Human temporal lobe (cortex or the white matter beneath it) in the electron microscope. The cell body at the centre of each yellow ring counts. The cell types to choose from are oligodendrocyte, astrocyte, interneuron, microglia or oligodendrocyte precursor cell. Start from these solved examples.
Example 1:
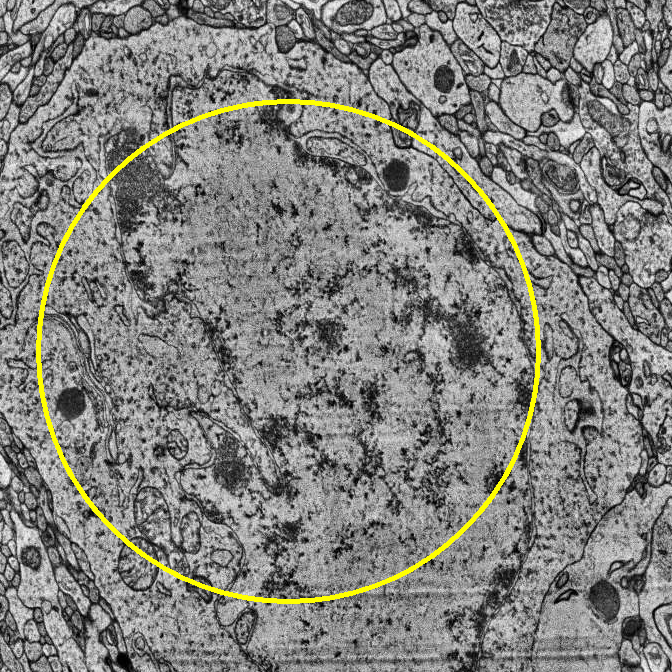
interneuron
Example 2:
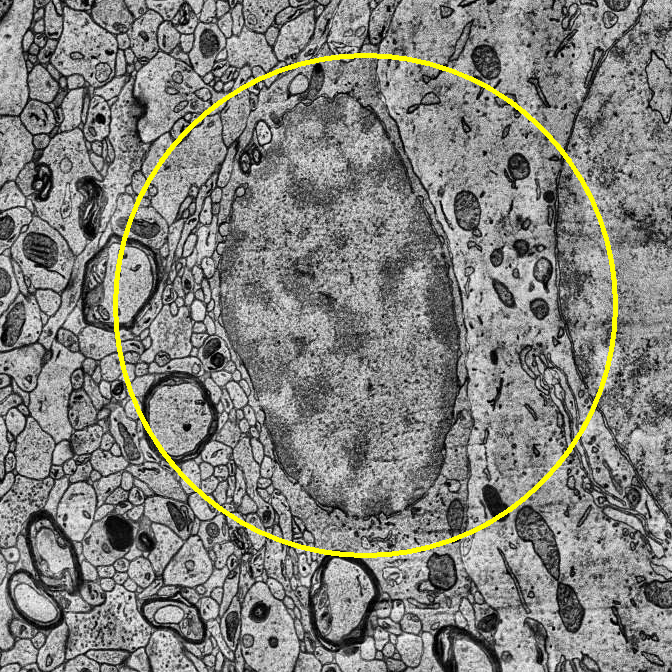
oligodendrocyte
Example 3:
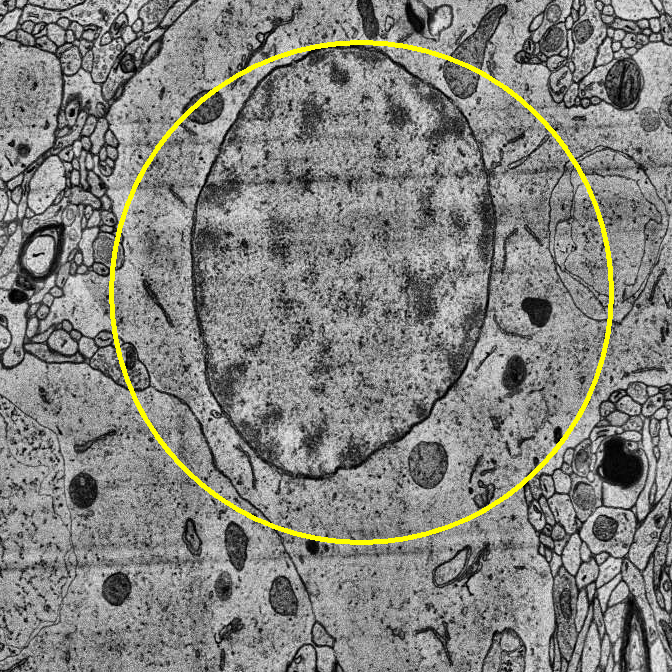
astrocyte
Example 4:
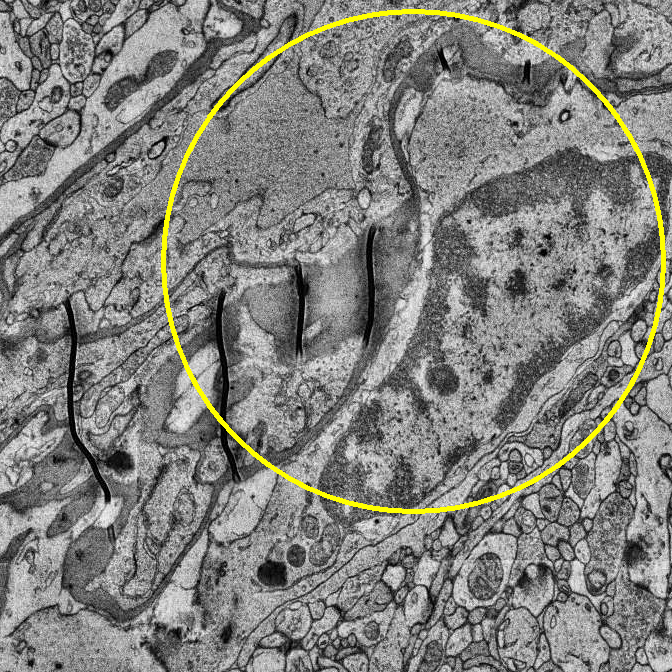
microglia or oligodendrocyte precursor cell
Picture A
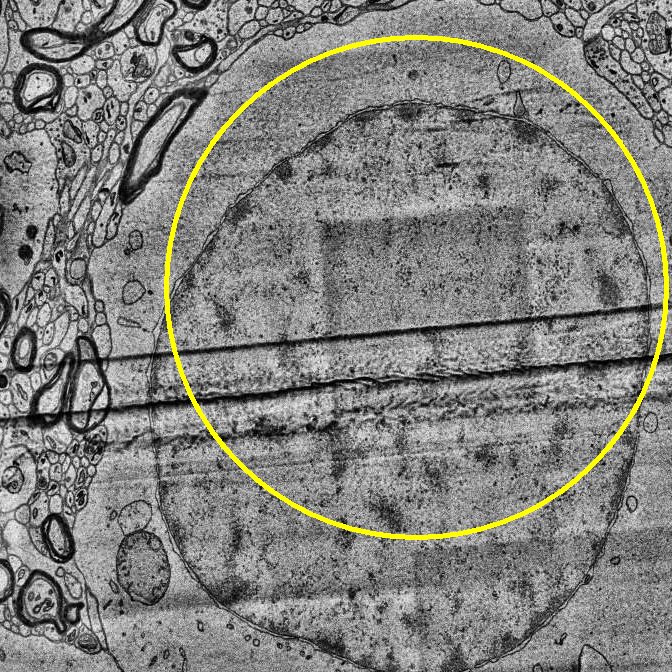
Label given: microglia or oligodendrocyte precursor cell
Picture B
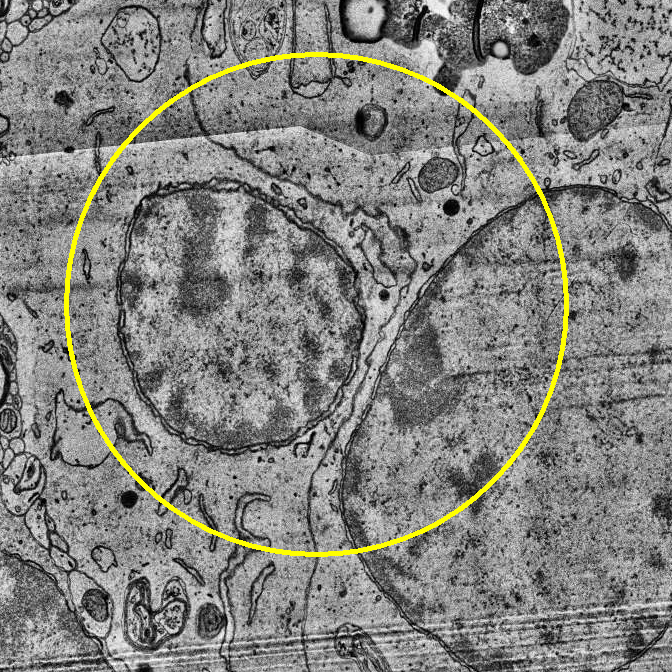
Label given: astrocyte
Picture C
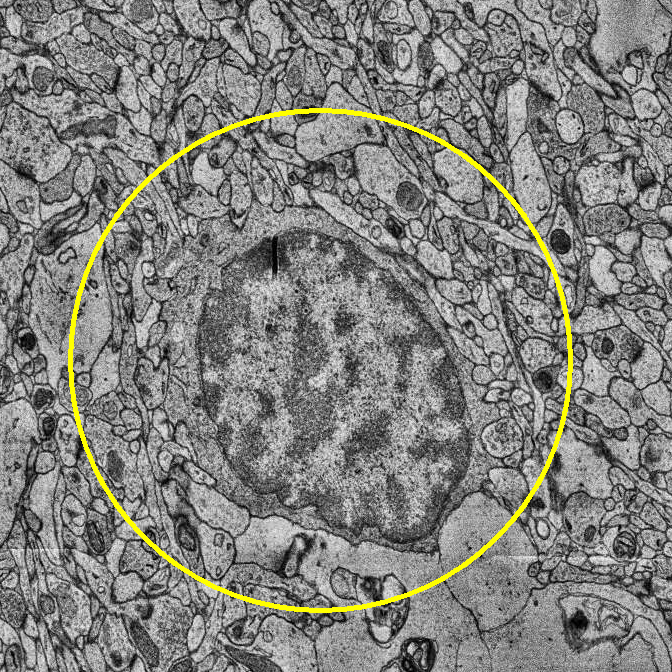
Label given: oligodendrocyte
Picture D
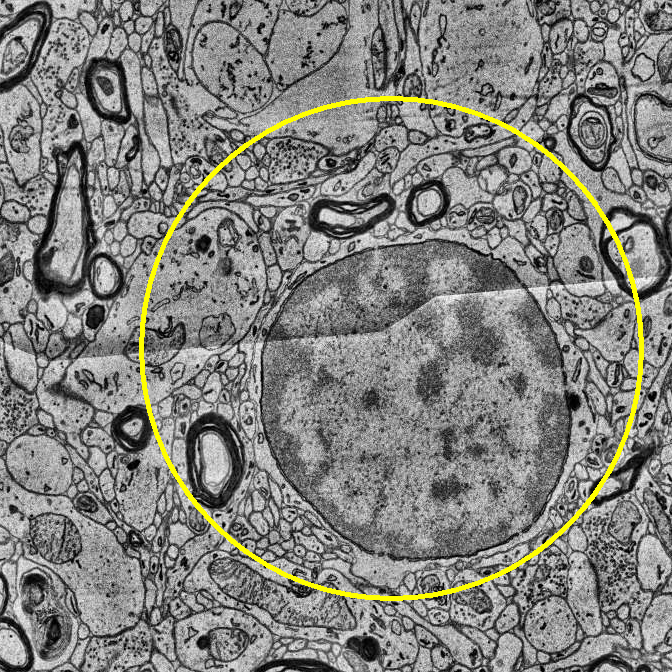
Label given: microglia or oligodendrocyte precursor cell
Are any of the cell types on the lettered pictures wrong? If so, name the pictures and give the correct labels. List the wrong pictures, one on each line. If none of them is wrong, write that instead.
A should be astrocyte, not microglia or oligodendrocyte precursor cell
